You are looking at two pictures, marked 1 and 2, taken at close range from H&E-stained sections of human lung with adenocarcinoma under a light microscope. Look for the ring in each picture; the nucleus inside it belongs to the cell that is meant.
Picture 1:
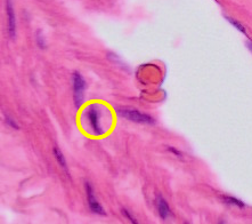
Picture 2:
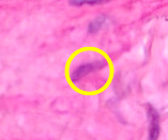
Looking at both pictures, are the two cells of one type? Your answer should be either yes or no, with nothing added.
yes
